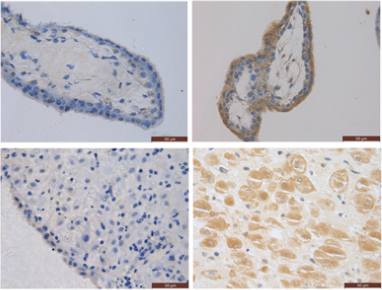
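The upper pair of images shows chorionic villi cut across. Each has a loose, pale core with scattered spindle-shaped cells and is wrapped in a continuous thin covering layer of cells; in the right-hand image that covering layer is stained brown. The lower pair shows decidua, a solid field of large rounded to polygonal cells with ample cytoplasm: only the blue nuclei stand out on the left, while on the right the cytoplasm of the cells is stained brown.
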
